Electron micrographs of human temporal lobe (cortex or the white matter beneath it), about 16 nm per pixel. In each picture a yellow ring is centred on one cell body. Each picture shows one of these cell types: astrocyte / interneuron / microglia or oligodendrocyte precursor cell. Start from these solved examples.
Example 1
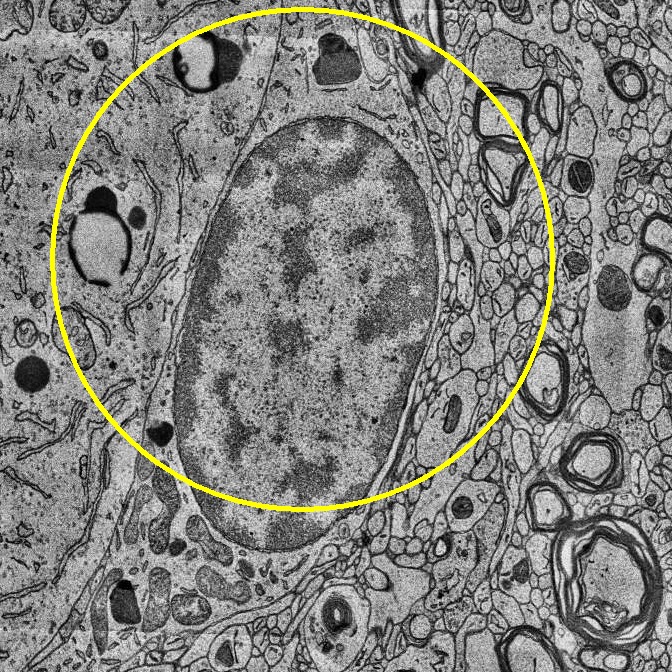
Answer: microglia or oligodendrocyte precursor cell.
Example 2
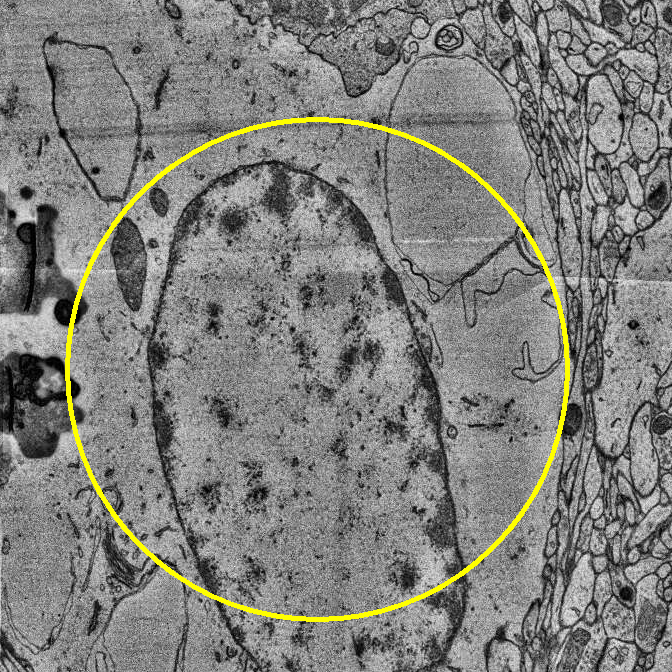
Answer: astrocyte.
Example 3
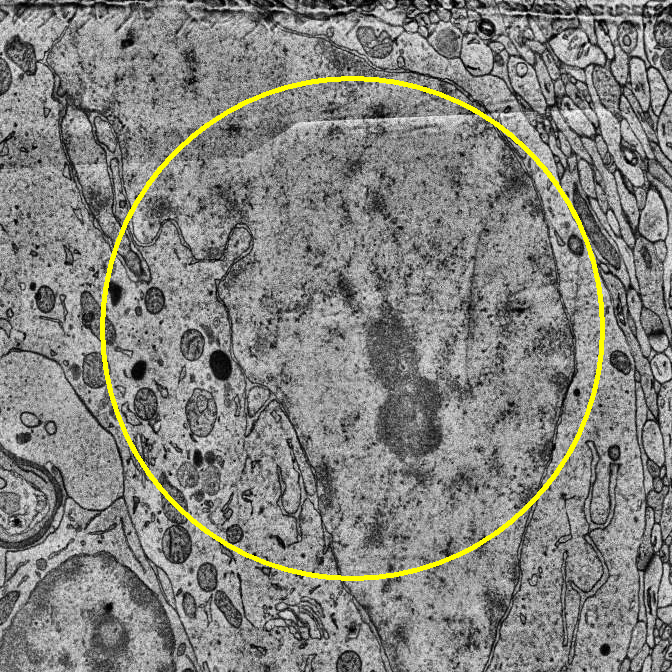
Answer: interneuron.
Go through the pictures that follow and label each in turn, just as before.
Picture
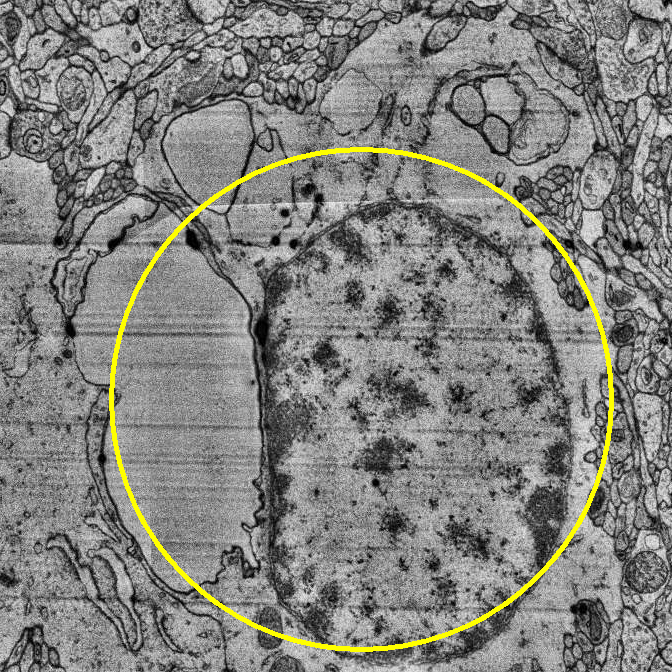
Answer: astrocyte.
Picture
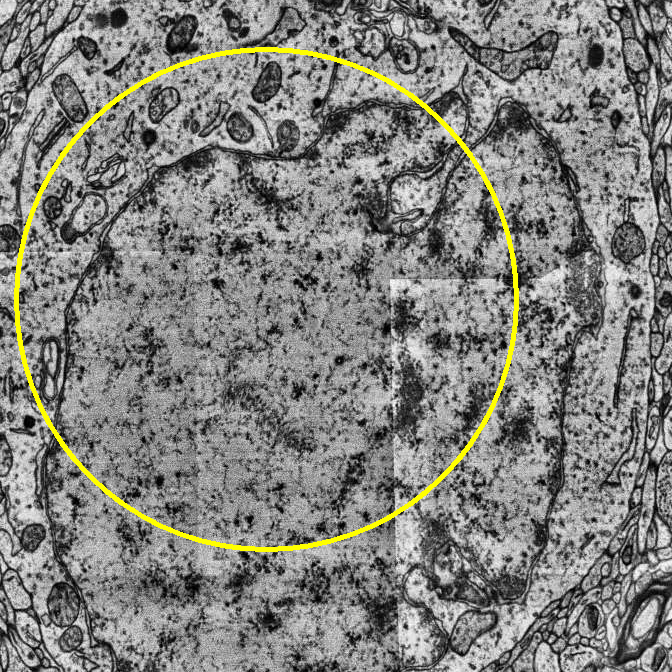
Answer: interneuron.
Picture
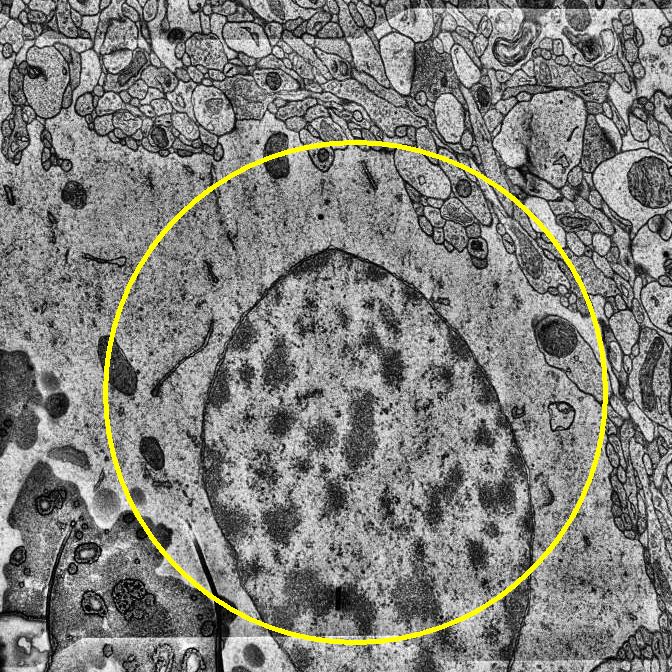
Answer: astrocyte.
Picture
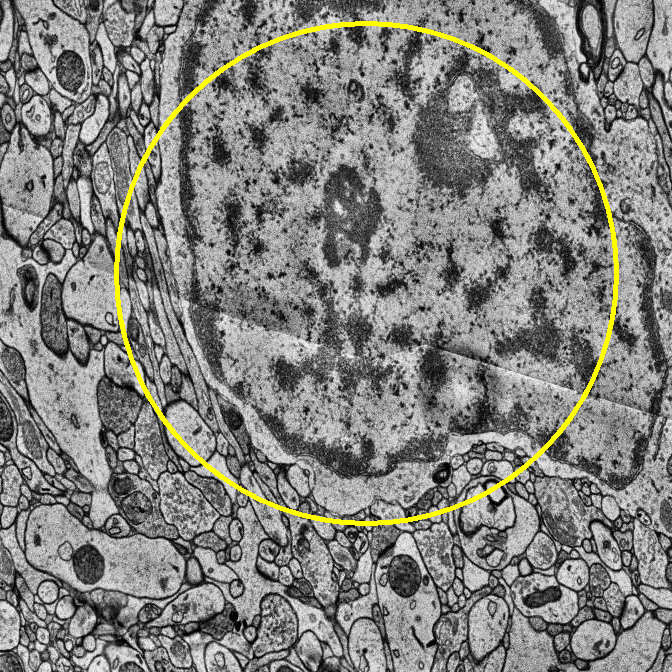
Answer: microglia or oligodendrocyte precursor cell.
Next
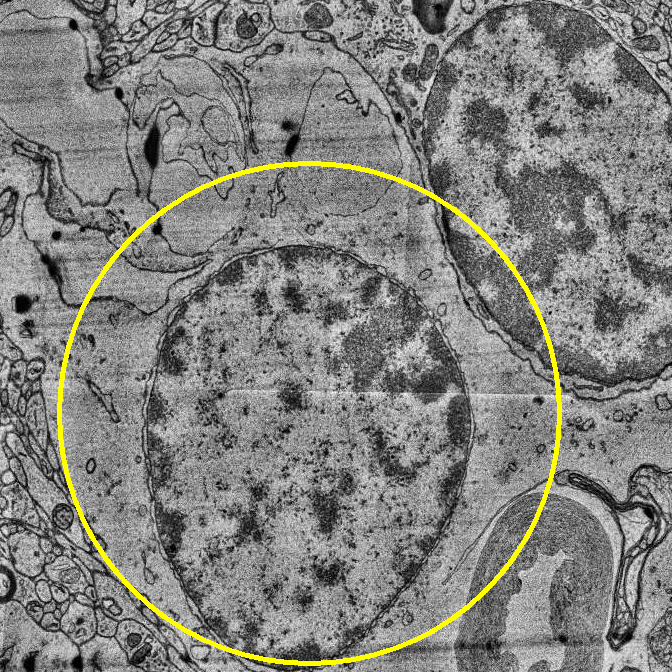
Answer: astrocyte.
